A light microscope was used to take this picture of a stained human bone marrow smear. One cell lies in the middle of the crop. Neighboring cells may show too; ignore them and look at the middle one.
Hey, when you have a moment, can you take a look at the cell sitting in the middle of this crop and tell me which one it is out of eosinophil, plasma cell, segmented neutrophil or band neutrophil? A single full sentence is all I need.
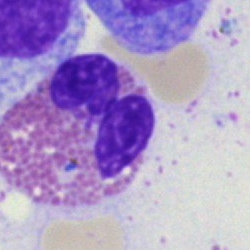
The cell at the middle of the crop is recognized as an eosinophil.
